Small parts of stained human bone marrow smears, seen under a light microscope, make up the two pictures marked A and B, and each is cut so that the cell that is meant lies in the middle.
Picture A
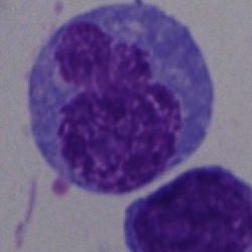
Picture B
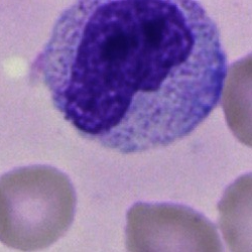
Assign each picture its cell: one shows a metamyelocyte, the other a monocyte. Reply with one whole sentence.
Picture A shows a monocyte and picture B shows a metamyelocyte.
